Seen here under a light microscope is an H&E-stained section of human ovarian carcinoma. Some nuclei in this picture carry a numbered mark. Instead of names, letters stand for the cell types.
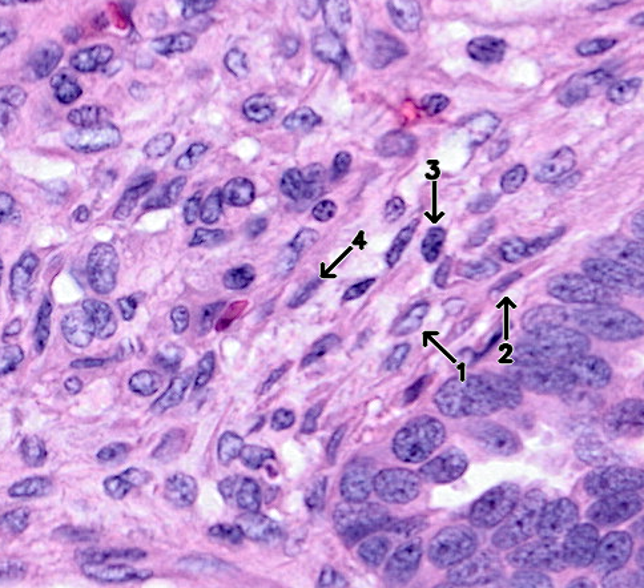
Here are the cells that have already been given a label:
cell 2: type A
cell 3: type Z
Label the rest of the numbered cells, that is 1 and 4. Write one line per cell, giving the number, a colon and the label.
1: type A
4: type A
